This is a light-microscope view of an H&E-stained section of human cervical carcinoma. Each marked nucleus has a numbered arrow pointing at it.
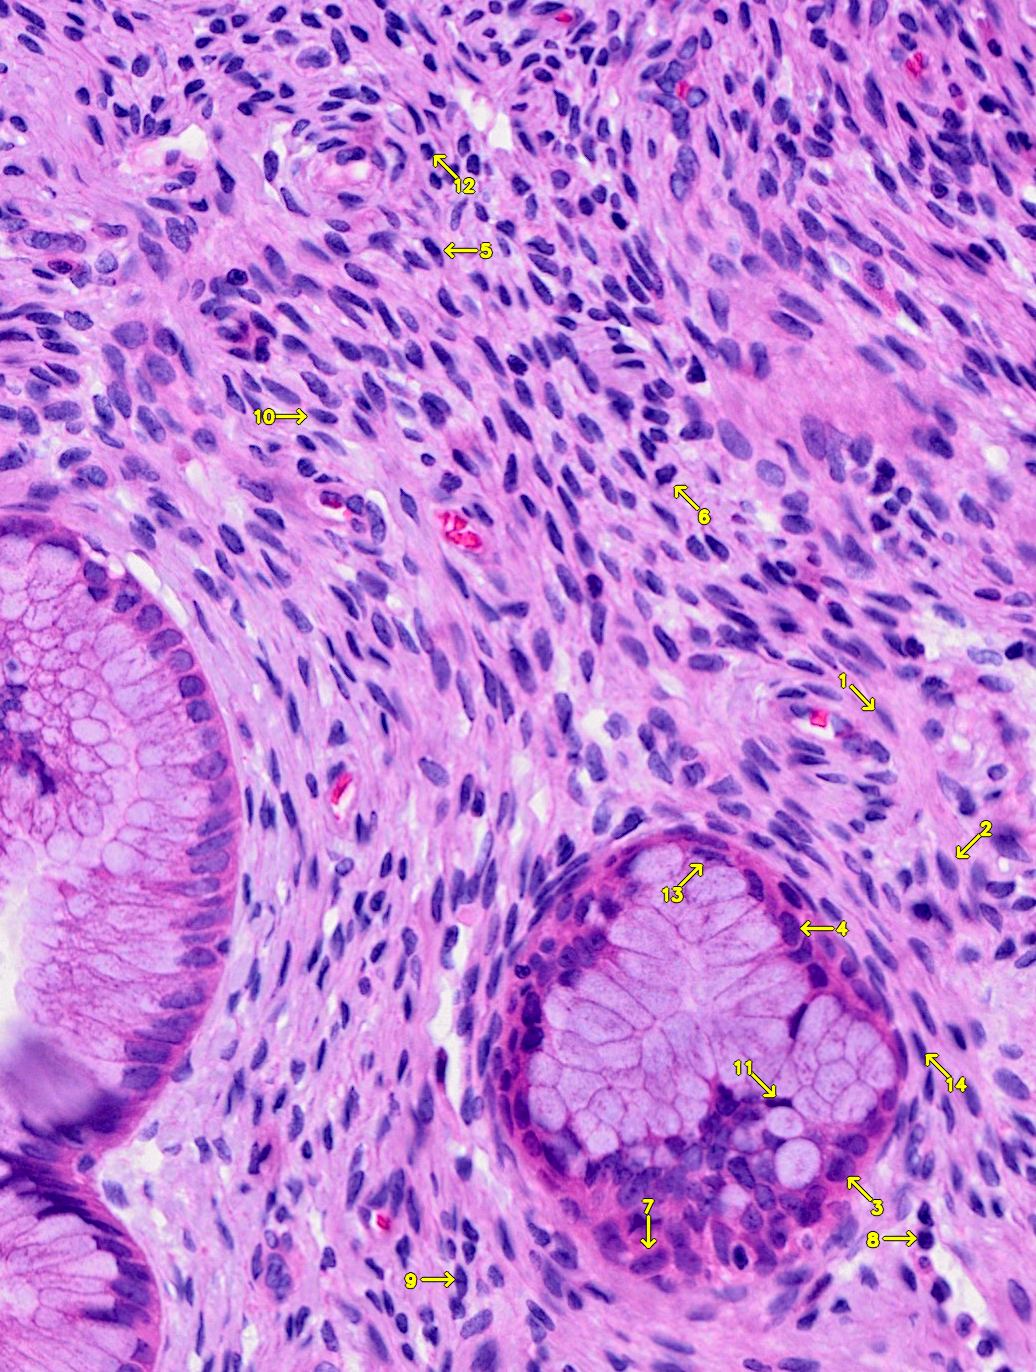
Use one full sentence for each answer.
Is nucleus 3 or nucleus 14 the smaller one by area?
Nucleus 14 covers less area, with nucleus 3 about 2 times as large.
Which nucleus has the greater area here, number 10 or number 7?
It is nucleus 7, which covers about 2 times the area of nucleus 10.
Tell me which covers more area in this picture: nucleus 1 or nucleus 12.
The larger nucleus is 1, at roughly 2 times the area of 12.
